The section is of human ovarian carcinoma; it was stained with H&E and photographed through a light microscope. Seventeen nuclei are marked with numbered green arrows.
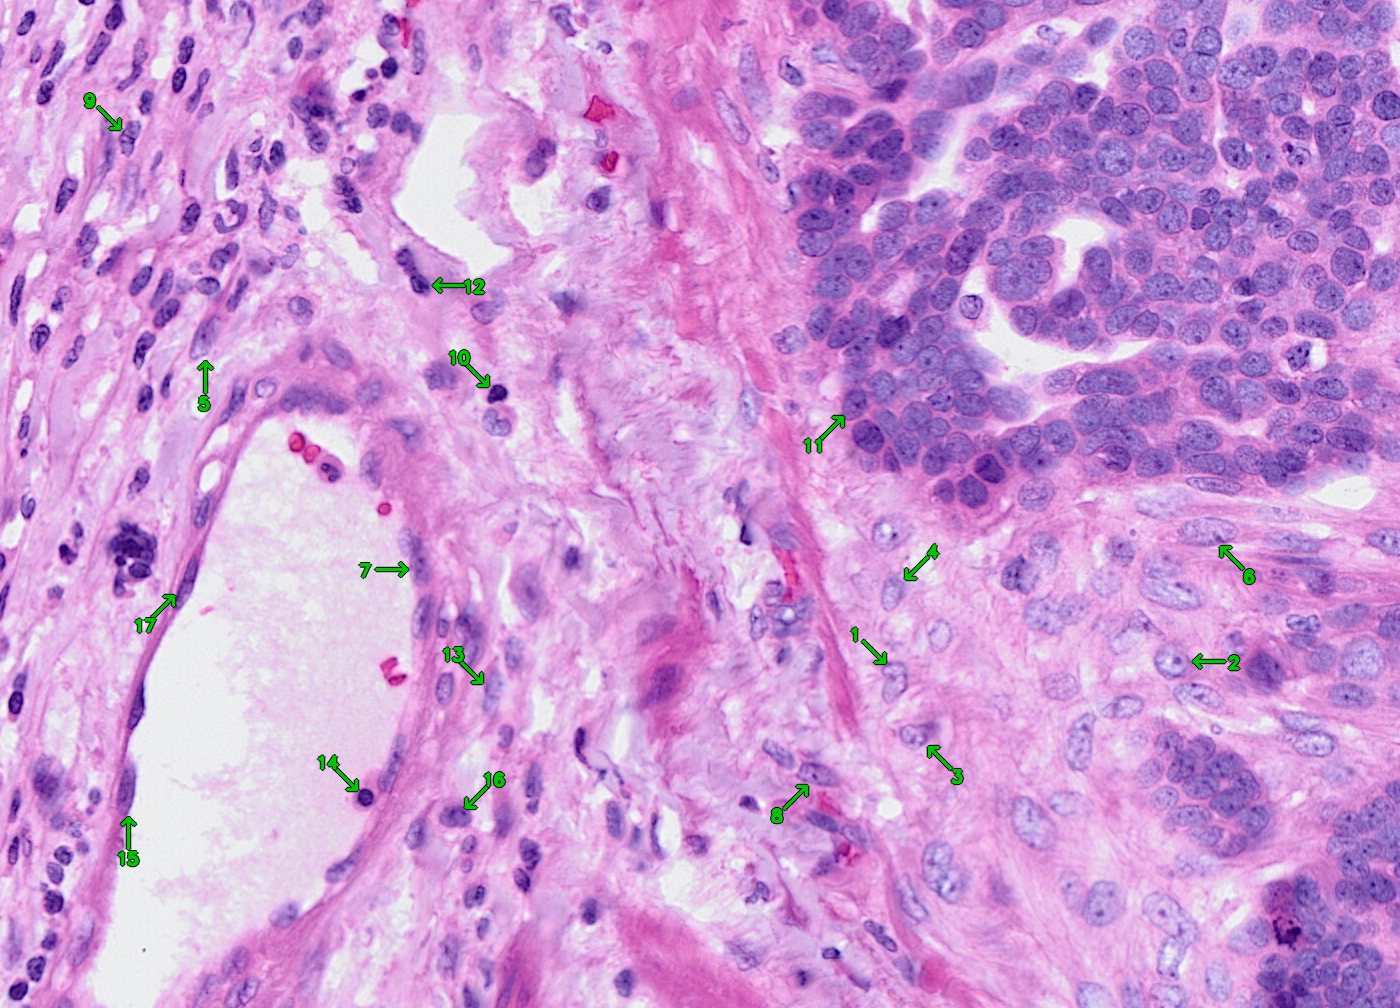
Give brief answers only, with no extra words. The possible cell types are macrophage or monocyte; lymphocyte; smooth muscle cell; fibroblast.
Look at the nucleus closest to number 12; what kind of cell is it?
macrophage or monocyte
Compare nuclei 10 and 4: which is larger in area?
4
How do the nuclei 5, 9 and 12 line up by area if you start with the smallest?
12, 9, 5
